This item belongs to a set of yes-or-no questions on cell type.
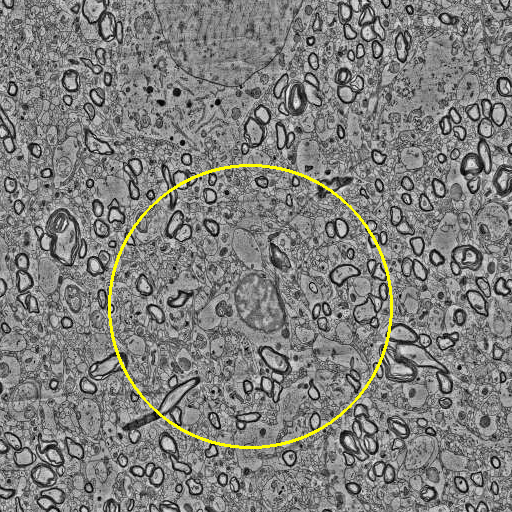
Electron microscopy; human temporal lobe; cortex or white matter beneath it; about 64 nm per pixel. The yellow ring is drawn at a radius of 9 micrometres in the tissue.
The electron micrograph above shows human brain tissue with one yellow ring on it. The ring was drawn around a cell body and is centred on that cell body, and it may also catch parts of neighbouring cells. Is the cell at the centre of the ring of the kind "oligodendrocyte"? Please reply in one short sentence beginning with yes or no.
Yes, that cell is of the named kind.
